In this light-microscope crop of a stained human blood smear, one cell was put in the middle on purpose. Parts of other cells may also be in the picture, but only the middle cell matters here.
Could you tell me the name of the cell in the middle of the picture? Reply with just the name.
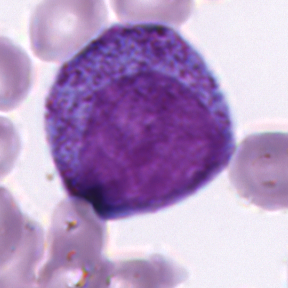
promyelocyte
